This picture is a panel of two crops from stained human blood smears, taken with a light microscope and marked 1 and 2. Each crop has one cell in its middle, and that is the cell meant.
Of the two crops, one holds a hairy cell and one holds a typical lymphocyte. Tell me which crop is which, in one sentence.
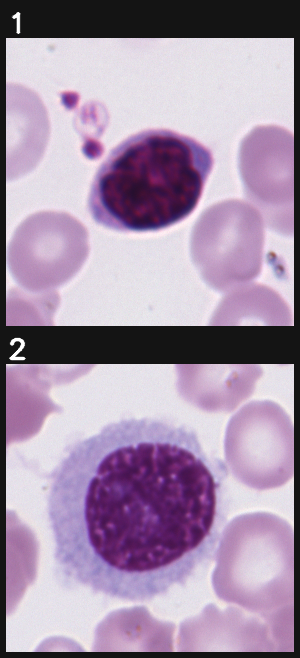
Identified in crop 1 is a typical lymphocyte, with a hairy cell identified in crop 2.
